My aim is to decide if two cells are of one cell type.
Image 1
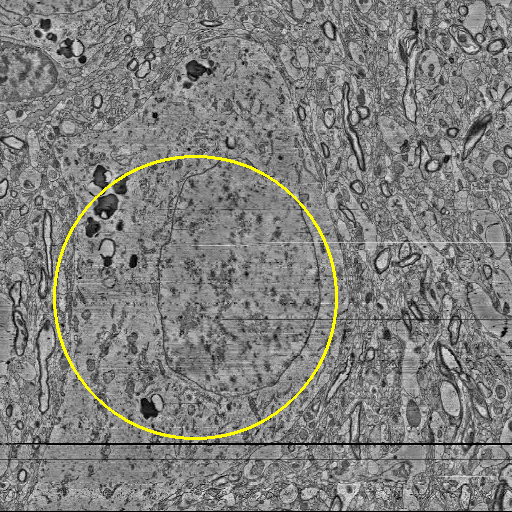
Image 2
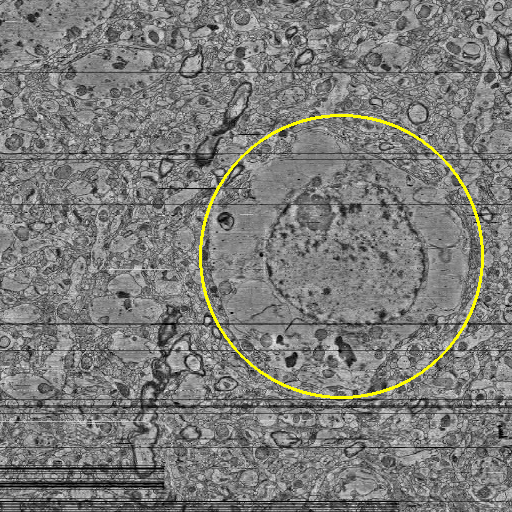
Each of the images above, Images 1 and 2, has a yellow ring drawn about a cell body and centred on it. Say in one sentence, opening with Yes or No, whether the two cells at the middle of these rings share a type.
No, in Images 1 and 2 the cells at the middle of the rings fall into two types.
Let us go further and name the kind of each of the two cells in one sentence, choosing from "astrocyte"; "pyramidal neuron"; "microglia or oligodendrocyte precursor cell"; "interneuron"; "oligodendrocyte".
The ring of the first picture is on a pyramidal neuron, the ring of the second on an astrocyte.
